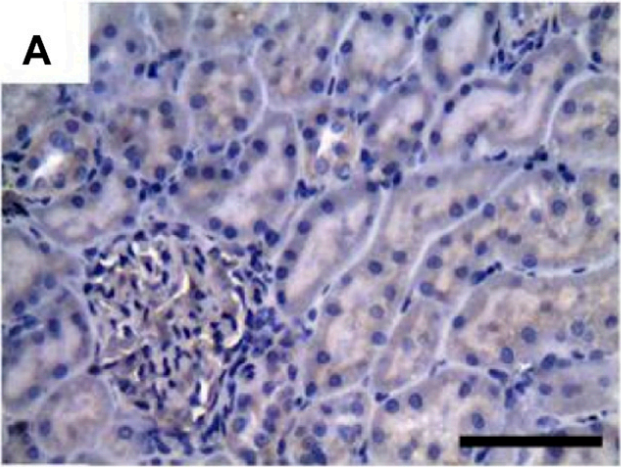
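The section shows renal cortex, with a single glomerulus at the left surrounded by closely packed tubules. The glomerulus is a compact tuft of capillary loops with many blue nuclei.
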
